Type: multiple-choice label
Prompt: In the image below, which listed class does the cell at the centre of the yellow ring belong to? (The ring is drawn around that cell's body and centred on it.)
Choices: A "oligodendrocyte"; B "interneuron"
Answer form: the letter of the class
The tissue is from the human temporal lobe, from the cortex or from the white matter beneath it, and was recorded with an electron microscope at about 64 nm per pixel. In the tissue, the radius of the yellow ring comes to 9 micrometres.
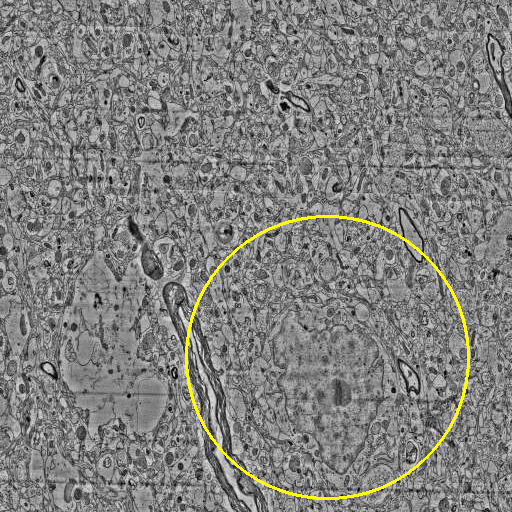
B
